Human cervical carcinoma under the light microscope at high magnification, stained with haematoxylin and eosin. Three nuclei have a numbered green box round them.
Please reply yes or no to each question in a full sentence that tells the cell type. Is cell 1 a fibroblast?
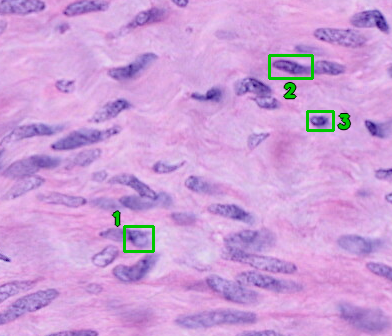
No, the cell labelled number 1 is not a fibroblast; it is a smooth muscle cell.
